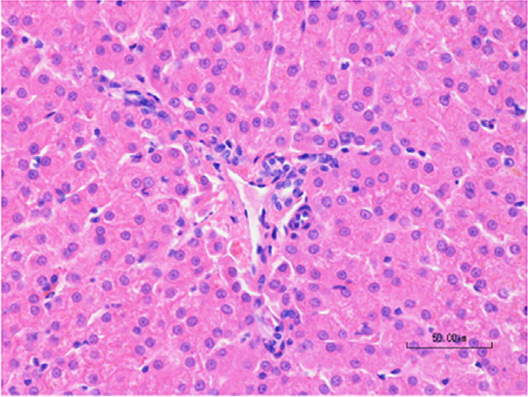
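Liver tissue centred on a small portal area surrounded by hepatocytes. The hepatocytes are polygonal cells with round, centrally placed nuclei, often with a visible nucleolus, and pink granular cytoplasm, arranged in plates separated by narrow sinusoids. The portal area in the middle is small, with only a thin rim of pale connective tissue containing a few small vessel profiles and clusters of cells with dark nuclei, including small duct-like structures.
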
